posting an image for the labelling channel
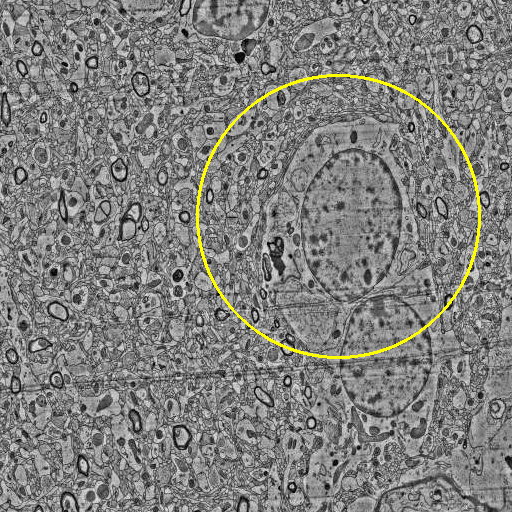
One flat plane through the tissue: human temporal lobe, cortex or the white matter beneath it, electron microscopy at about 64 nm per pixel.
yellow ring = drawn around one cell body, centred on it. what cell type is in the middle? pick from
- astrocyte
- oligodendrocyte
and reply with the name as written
astrocyte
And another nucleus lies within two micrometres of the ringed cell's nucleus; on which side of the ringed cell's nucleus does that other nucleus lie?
The other nucleus is found below it.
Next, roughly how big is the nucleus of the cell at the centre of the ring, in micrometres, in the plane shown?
The nucleus of the ringed cell is clearly longer than it is wide in this plane, about 10 by 6 micrometres.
